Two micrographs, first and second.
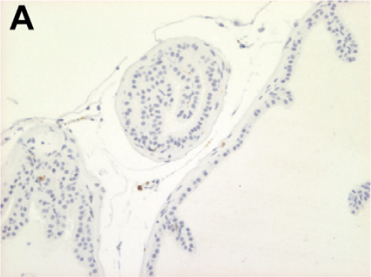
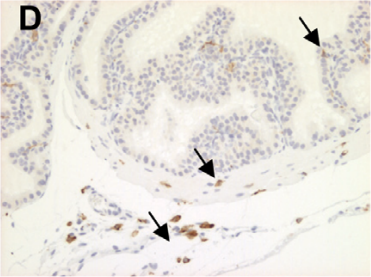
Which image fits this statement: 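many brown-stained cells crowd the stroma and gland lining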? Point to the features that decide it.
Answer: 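Second image: numerous brown cells in the epithelium, around the gland and in clusters in the interglandular tissue. First image: only one or two brown cells in the stroma between glands. That points to this answer: the second image.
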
